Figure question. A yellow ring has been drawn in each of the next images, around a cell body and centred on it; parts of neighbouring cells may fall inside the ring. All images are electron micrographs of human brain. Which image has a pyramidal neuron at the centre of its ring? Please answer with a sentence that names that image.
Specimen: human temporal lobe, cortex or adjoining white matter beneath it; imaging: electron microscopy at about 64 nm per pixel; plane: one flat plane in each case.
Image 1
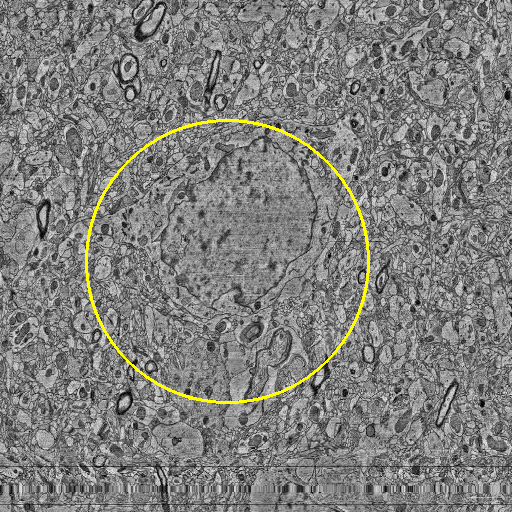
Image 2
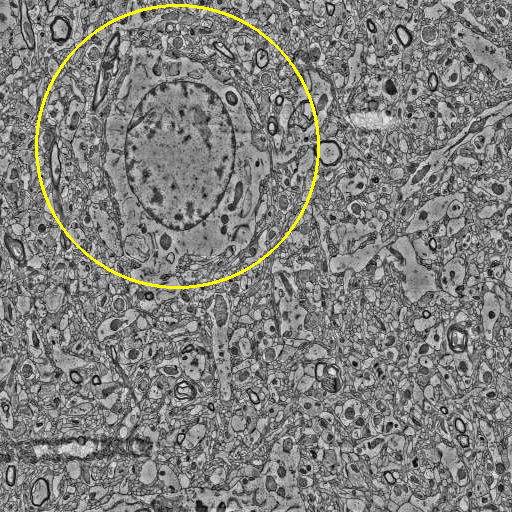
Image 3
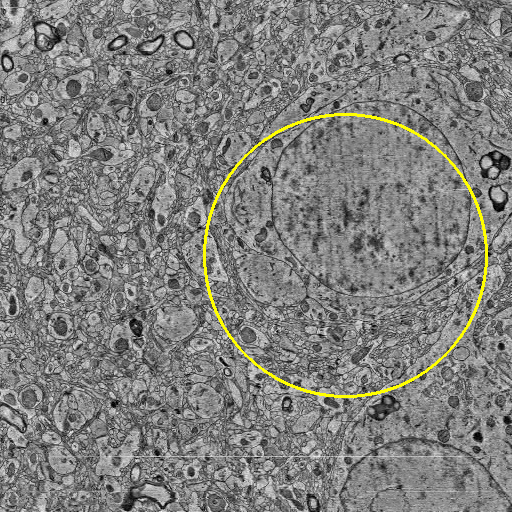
The cell at the centre of the ring in Image 3 is of that kind.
